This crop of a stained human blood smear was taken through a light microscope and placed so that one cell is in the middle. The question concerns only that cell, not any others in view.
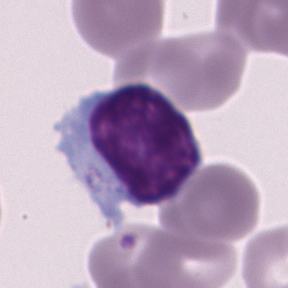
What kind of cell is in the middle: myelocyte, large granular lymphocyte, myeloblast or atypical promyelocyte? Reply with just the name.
large granular lymphocyte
